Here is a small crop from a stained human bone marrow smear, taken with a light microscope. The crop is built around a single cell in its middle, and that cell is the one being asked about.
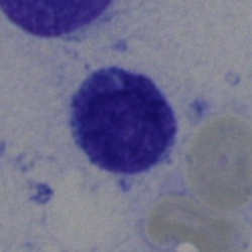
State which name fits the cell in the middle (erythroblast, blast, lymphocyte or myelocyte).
lymphocyte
